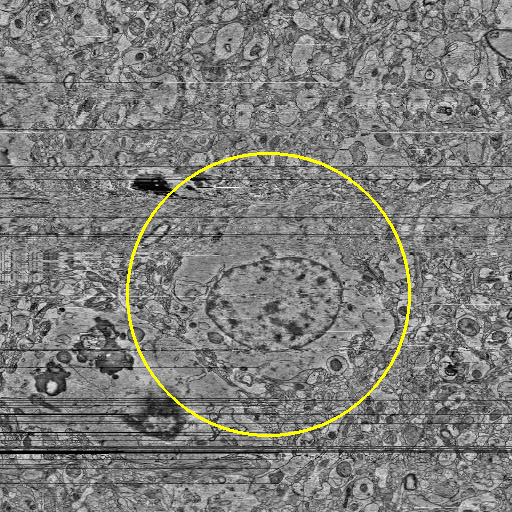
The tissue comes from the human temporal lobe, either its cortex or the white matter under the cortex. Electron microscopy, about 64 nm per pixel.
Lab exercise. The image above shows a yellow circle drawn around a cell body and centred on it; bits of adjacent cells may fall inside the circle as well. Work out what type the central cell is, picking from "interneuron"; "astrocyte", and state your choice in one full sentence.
In the image above, the cell at the centre of the yellow circle is an astrocyte.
